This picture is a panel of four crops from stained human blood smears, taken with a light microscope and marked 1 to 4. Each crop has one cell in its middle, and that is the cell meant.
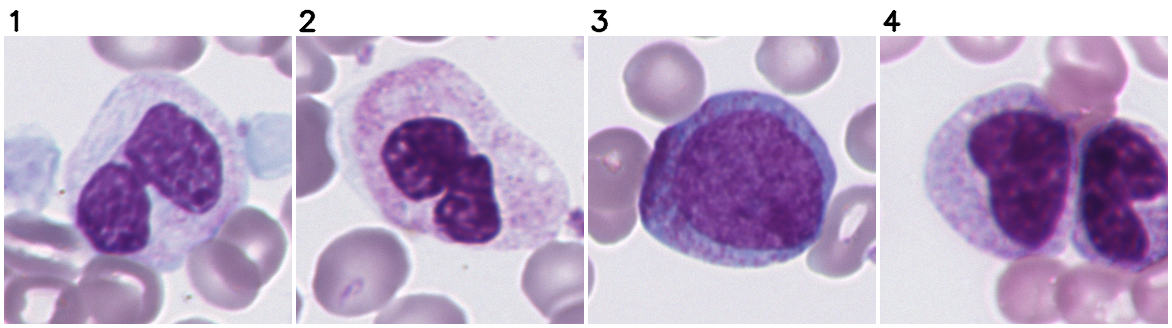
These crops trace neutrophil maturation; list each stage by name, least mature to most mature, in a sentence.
In terms of maturity, from least to most, the order is crop 3 (a promyelocyte), crop 4 (a metamyelocyte), crop 1 (a band neutrophil) and crop 2 (a segmented neutrophil).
